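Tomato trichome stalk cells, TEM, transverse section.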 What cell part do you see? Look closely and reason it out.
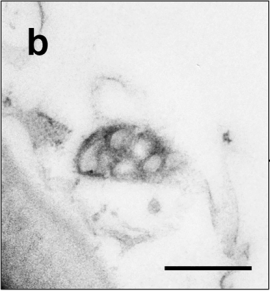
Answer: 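A small rounded organelle with a dark bounding membrane lies in the middle of the field. Its interior contains several pale round compartments within dark matrix. On this evidence: mitochondria.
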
